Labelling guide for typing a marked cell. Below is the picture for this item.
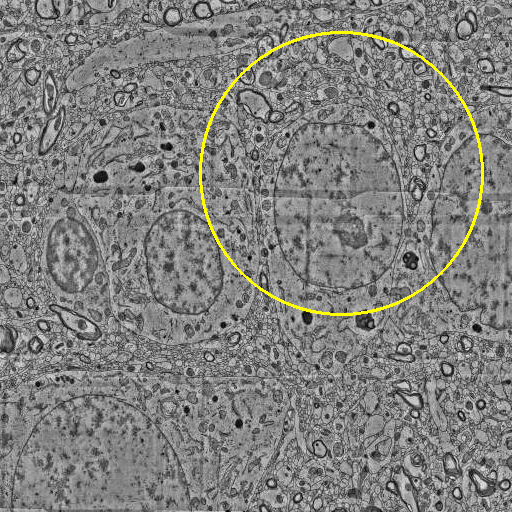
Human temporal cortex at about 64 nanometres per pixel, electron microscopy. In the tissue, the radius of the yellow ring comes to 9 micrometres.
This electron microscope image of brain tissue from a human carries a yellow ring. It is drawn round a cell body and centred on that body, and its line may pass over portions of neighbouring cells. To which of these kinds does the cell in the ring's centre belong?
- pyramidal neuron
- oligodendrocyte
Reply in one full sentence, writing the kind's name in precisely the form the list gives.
Here we have a pyramidal neuron at the centre of the yellow ring in the picture.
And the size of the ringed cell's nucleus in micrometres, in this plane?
In this plane the nucleus measures roughly 11 by 9 micrometres.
